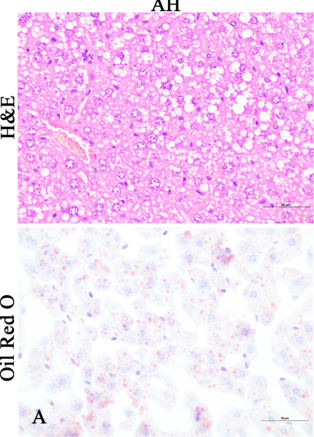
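In the upper image many hepatocytes hold clear, empty-looking vacuoles of varying size in their pink cytoplasm, which gives the tissue a bubbly, pale appearance. The hepatocytes are polygonal, with round purple nuclei, and a small vessel sits at the left edge. In the lower image blue nuclei are scattered among the cells, and red-orange droplets and clumps lie in the cytoplasm, gathering more densely in some patches.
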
